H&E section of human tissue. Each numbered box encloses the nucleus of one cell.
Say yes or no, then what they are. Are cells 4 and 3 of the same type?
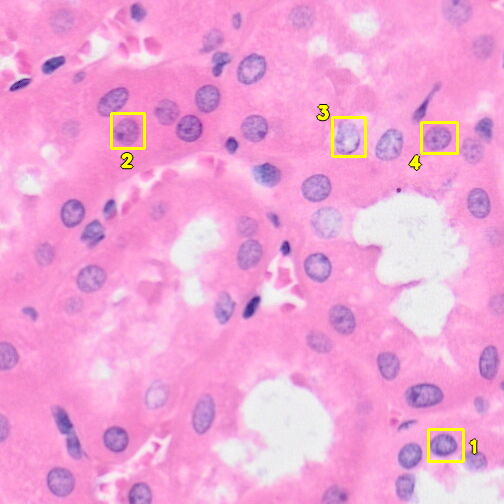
Yes, cells 4 and 3 are both counted as proximal tubule cells.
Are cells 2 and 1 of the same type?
No, by type, cell 2 is a proximal tubule cell and cell 1 is a loop of Henle or distal tubule cell.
